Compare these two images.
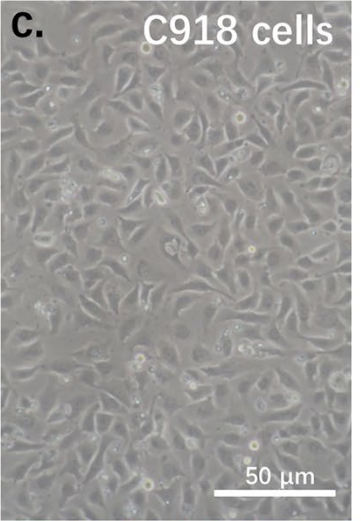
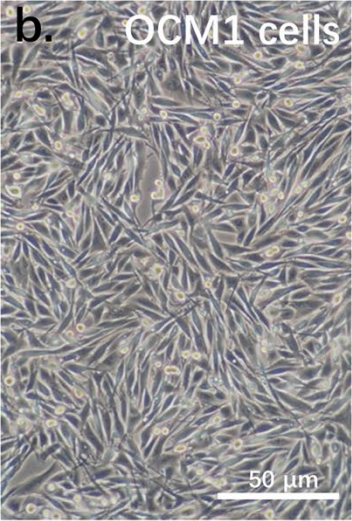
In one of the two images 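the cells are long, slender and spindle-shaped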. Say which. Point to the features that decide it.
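The second image. First image: cells are broad, flat and polygonal. Second image: cells are narrow and elongated, tapering at both ends, lying in parallel.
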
